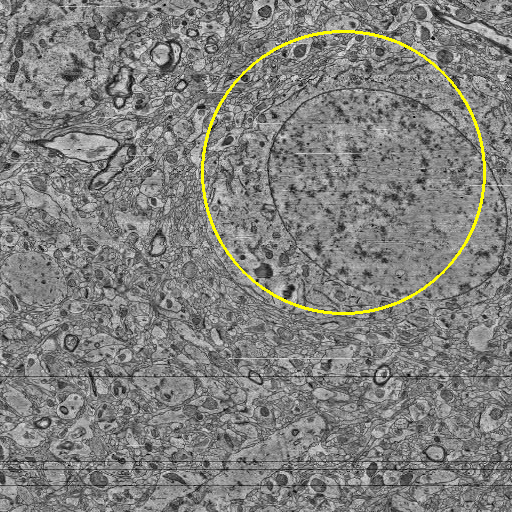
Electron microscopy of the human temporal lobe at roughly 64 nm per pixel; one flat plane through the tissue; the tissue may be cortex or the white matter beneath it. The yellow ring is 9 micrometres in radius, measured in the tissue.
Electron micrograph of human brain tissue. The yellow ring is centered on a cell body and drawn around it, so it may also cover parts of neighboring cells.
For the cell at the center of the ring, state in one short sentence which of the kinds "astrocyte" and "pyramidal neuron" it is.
This ring is centered on a pyramidal neuron.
